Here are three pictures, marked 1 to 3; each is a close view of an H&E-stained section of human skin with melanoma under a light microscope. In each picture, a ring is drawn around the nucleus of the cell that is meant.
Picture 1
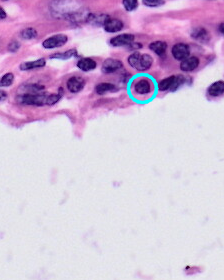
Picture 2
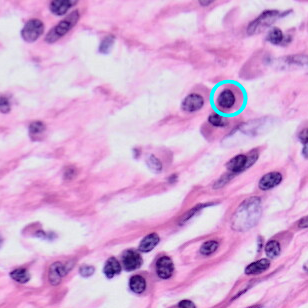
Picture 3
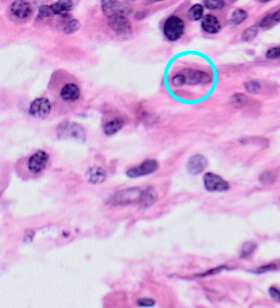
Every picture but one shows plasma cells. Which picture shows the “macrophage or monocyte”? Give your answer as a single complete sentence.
The “macrophage or monocyte” is the one in picture 3.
